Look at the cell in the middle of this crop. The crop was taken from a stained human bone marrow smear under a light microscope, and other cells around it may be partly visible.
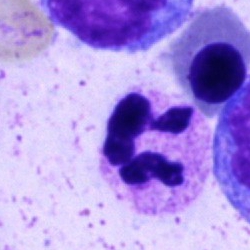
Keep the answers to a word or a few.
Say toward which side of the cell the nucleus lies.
upper left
